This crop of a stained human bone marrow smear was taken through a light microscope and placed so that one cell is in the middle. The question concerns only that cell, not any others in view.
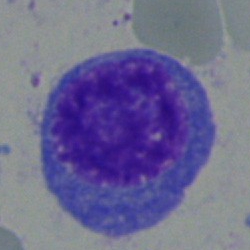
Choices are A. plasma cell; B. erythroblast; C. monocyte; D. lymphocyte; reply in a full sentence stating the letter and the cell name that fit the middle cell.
The cell in the middle is correctly identified as a plasma cell in option A.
